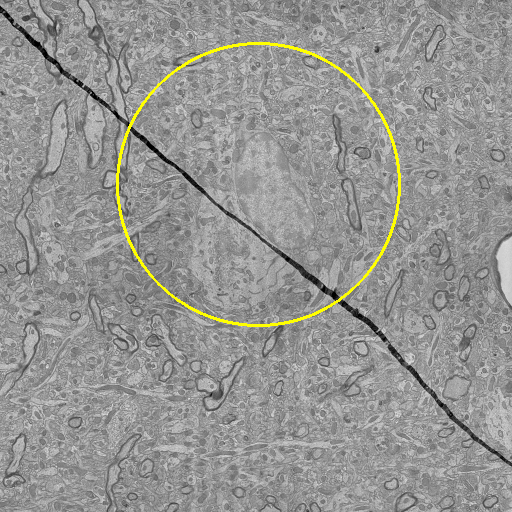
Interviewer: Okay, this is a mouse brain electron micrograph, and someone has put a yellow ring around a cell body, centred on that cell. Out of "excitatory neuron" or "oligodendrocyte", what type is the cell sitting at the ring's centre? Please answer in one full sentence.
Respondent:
The cell at the centre of the yellow ring in this picture is an oligodendrocyte.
